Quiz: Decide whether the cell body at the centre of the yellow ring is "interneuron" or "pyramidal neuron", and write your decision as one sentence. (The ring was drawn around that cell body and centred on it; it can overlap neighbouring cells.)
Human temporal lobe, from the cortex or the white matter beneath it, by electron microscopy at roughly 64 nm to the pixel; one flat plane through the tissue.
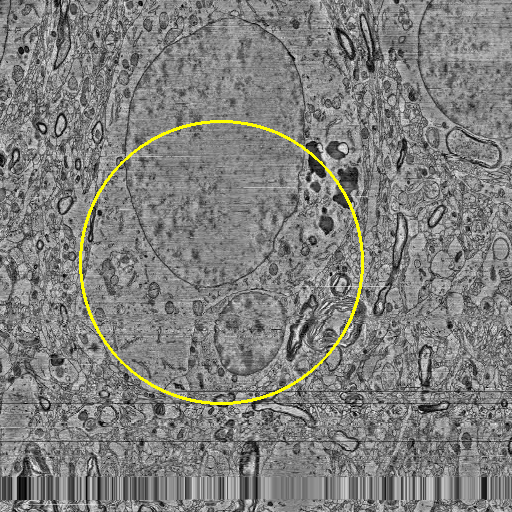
The cell the ring is centred on is a pyramidal neuron.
